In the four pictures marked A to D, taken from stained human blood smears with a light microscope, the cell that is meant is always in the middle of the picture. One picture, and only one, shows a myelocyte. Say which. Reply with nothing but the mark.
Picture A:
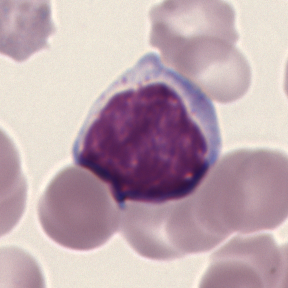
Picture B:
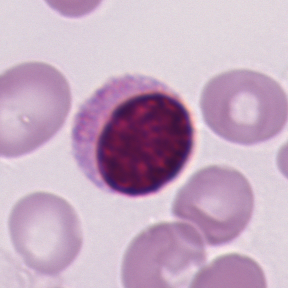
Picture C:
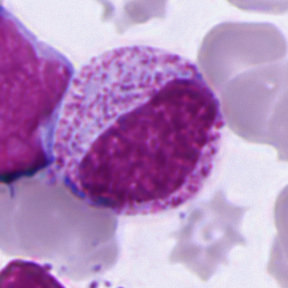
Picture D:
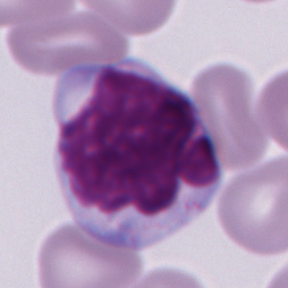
C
